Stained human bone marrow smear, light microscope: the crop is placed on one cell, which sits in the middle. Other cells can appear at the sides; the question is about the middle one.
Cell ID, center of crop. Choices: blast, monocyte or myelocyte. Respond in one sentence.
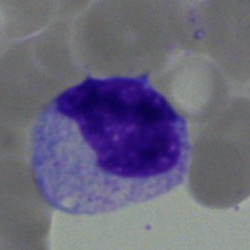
The cell at the middle of the crop is recognized as a myelocyte.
